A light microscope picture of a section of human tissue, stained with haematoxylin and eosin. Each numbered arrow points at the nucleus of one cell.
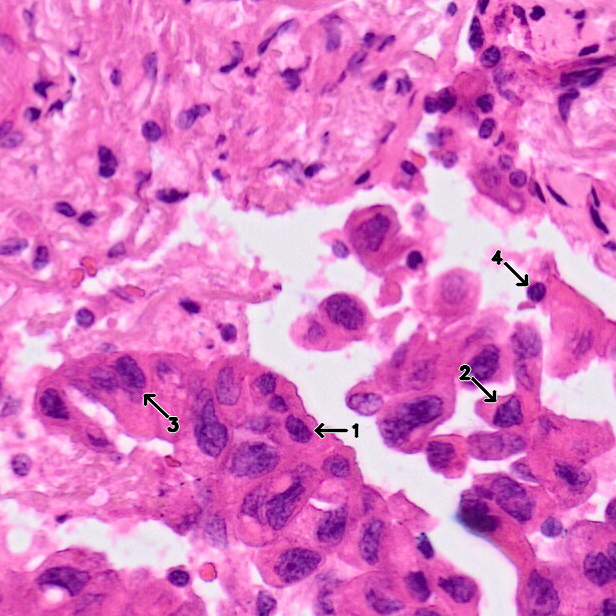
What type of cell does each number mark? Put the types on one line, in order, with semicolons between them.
carcinoma cell; carcinoma cell; carcinoma cell; lymphocyte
